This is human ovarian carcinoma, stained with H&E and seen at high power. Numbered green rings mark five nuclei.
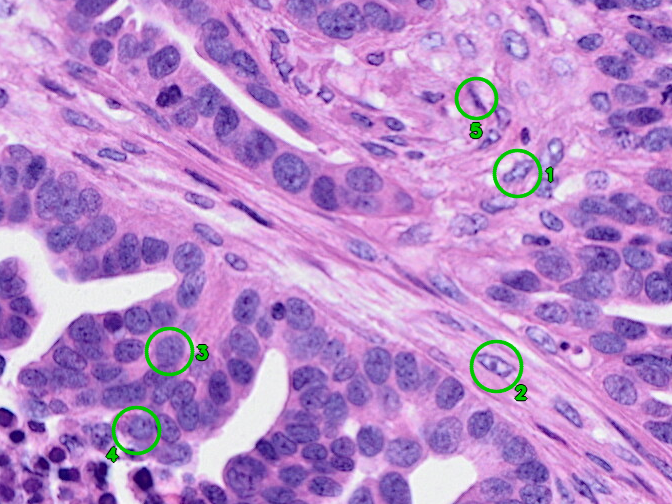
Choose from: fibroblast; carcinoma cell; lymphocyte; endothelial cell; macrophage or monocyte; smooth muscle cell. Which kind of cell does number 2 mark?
fibroblast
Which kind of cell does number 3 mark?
carcinoma cell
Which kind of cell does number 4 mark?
carcinoma cell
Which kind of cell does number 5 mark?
fibroblast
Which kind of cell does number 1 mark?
fibroblast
